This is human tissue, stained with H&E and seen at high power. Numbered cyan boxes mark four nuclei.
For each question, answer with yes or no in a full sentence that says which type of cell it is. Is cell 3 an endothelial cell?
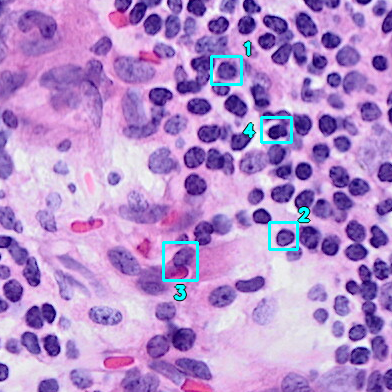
Yes, the cell labelled with number 3 is an endothelial cell.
